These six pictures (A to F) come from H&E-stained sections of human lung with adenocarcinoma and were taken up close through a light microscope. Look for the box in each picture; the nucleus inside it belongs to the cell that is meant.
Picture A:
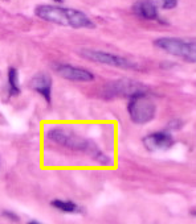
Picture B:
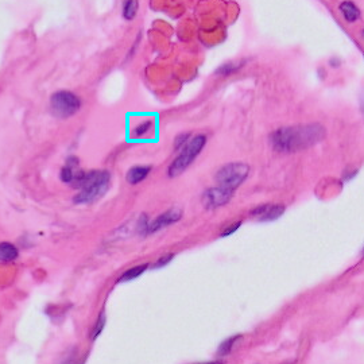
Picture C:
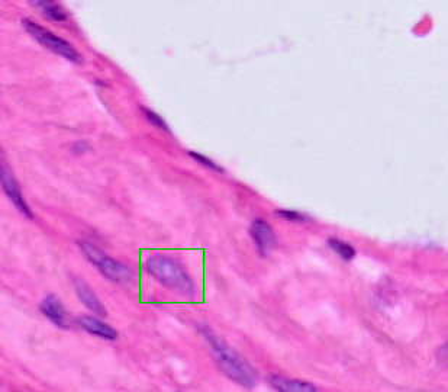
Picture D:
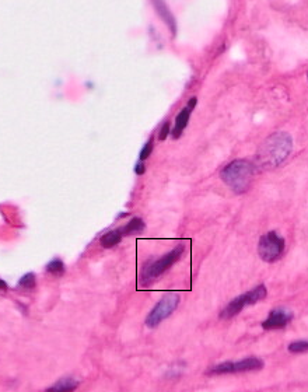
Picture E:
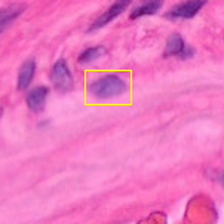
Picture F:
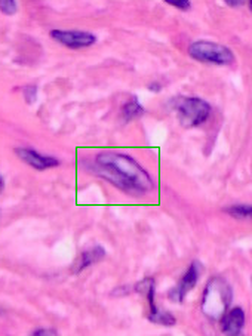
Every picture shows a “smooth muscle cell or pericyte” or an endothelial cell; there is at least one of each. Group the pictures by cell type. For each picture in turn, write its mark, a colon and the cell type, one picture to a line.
A: smooth muscle cell or pericyte
B: endothelial cell
C: smooth muscle cell or pericyte
D: smooth muscle cell or pericyte
E: smooth muscle cell or pericyte
F: endothelial cell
